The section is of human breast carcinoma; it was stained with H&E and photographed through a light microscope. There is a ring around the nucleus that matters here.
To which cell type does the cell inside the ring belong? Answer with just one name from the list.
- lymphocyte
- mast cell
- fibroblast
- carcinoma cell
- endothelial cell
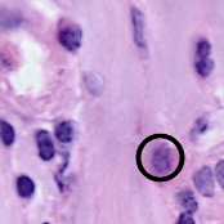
mast cell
